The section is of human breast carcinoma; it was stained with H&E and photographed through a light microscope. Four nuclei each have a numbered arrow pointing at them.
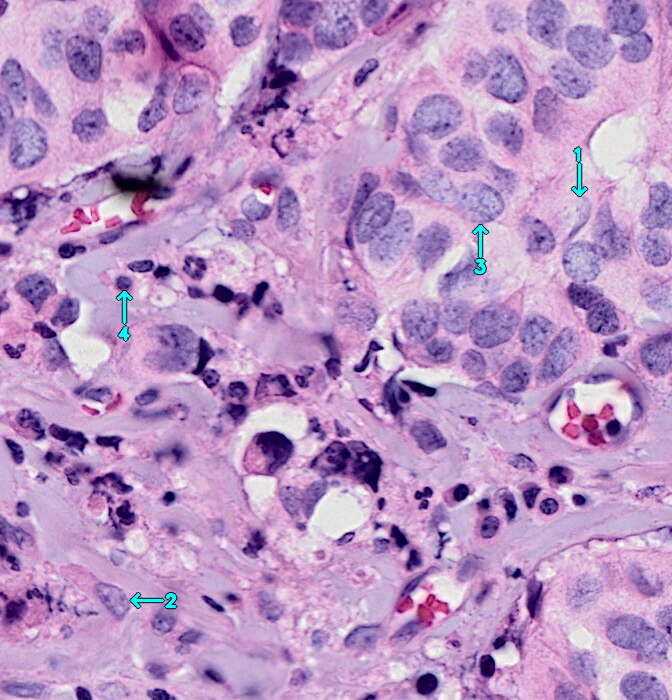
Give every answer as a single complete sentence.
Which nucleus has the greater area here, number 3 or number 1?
Nucleus 3 covers more area, about 3 times as much as nucleus 1.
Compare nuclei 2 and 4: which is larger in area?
Nucleus 2 is the larger one, covering about 3 times the area of nucleus 4.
